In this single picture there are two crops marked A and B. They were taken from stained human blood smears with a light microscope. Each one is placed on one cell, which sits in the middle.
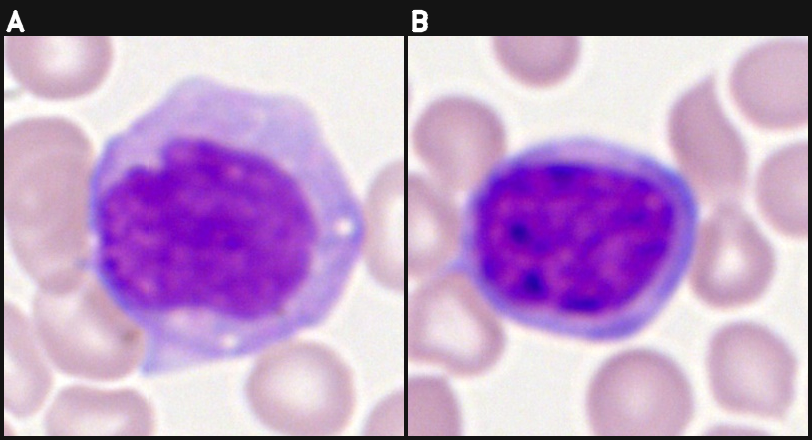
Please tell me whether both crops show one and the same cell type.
yes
